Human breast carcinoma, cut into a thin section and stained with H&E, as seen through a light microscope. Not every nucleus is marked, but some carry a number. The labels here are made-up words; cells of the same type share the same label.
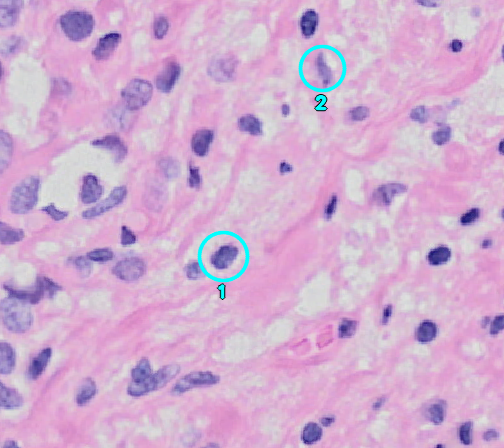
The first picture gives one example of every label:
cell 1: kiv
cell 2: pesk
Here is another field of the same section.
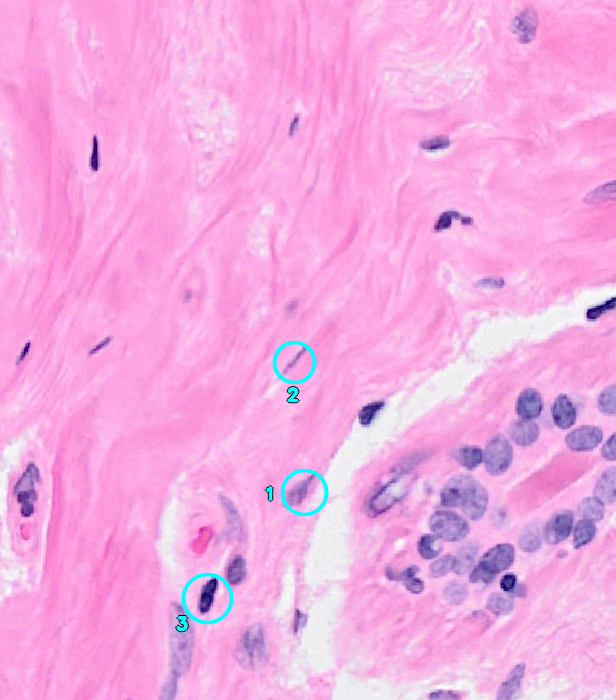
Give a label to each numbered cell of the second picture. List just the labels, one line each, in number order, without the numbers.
pesk
pesk
kiv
